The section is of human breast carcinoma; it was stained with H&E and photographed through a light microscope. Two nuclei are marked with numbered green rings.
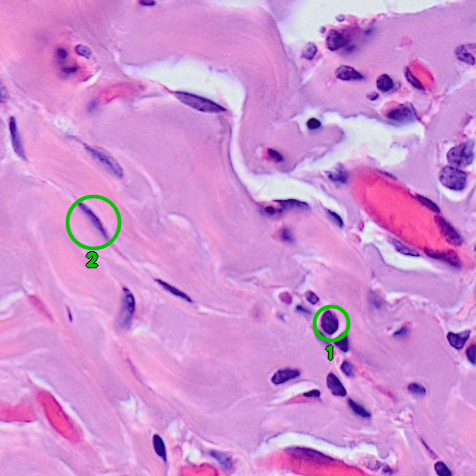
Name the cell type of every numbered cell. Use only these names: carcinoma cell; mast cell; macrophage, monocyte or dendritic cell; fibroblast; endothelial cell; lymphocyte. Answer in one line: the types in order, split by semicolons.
lymphocyte; fibroblast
